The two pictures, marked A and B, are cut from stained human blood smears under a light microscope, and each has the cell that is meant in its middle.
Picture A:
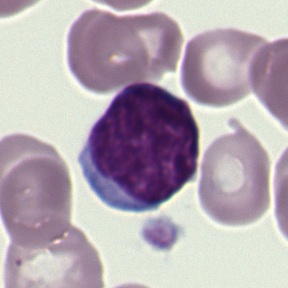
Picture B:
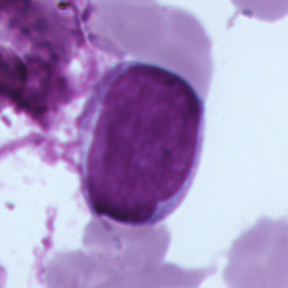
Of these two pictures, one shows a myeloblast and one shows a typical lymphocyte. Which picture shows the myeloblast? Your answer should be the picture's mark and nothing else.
B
